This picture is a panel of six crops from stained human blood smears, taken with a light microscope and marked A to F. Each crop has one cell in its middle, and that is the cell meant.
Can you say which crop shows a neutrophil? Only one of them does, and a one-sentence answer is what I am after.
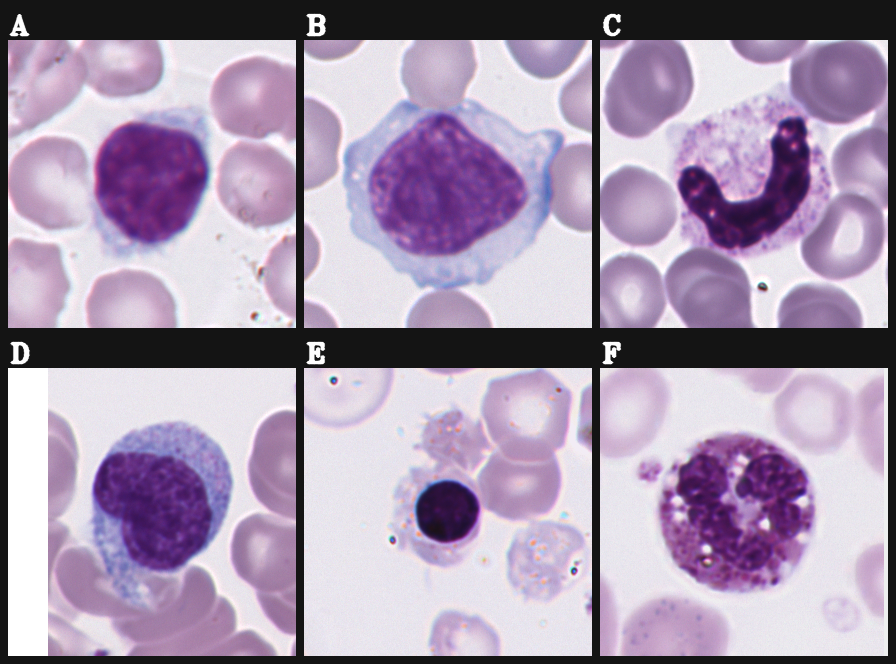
As for which crop shows a neutrophil, it is crop C.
